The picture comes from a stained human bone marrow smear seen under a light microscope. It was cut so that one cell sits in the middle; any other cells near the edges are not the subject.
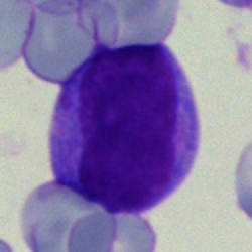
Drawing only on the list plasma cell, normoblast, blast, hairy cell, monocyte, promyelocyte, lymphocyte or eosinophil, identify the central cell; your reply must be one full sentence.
To answer, the cell in the center of the crop is a blast.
